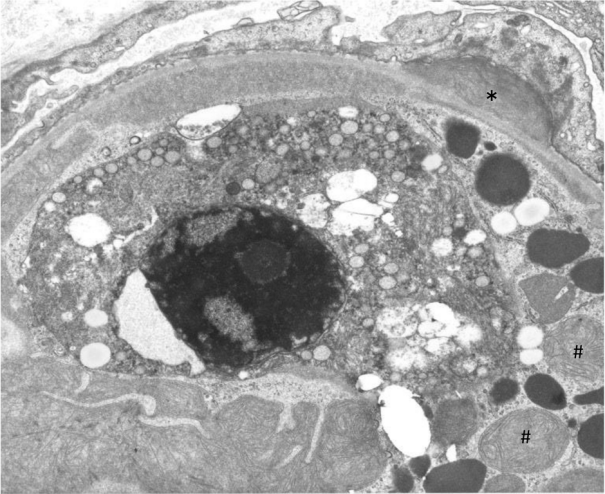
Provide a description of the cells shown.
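A glomerular capillary region in which a cell with a dark, irregular nucleus and cytoplasm crowded with small round vacuoles and pale droplets is surrounded by masses of finely fibrillar material. A band of this fibrillar material runs along the capillary wall above the cell, and at the upper right a lens-shaped fibrillar mass lies on the outer side beneath the epithelium. To the right, dense dark round droplets cluster beside larger round bodies whose interiors show whorled fibrils.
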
